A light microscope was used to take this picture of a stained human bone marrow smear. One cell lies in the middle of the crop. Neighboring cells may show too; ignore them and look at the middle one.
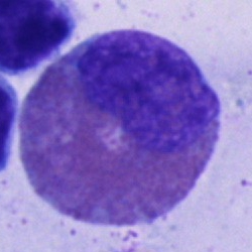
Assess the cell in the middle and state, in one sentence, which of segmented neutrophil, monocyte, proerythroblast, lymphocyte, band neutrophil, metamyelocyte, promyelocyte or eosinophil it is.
Among the cells in view, the one in the middle is an eosinophil.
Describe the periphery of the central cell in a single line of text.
The border of this cell runs smooth and free of any projections.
